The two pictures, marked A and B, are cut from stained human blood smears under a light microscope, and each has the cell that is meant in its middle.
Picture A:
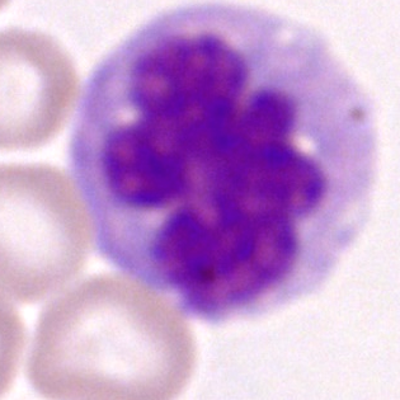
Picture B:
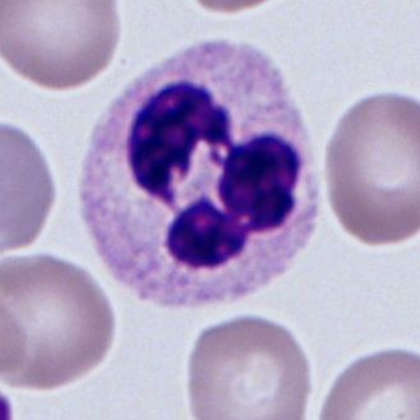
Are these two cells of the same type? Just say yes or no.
no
